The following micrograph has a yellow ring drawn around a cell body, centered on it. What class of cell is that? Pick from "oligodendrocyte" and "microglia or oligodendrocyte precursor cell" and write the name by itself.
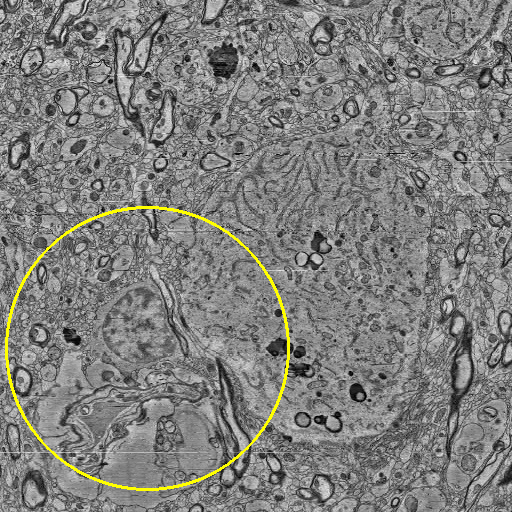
oligodendrocyte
